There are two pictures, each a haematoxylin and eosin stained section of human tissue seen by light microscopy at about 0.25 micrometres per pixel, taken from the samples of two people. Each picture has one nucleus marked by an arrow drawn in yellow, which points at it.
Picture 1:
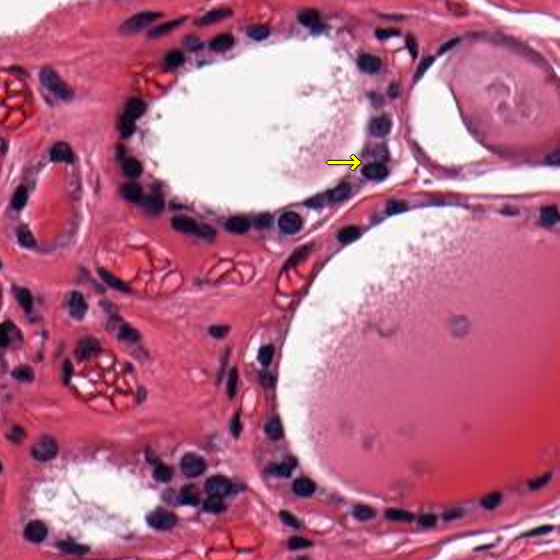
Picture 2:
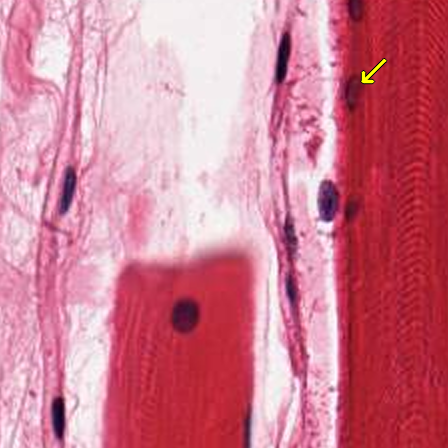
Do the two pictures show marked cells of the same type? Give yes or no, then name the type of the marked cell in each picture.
No, the first is a thyroid follicular cell and the second a skeletal muscle fibre.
